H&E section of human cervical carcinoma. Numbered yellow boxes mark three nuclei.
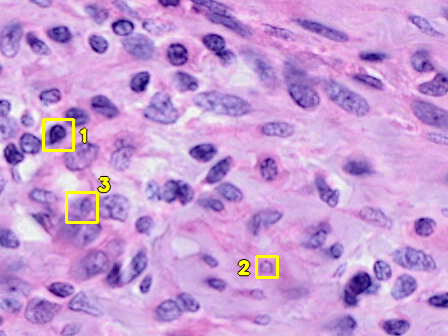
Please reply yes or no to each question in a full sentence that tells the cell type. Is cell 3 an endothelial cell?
Yes, the cell numbered 3 in this tissue is an endothelial cell.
